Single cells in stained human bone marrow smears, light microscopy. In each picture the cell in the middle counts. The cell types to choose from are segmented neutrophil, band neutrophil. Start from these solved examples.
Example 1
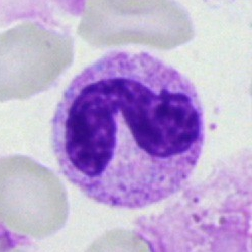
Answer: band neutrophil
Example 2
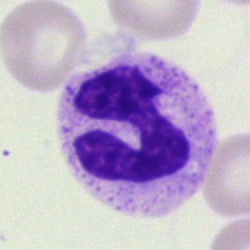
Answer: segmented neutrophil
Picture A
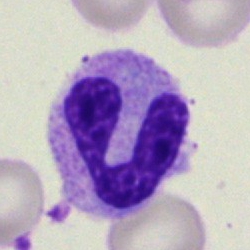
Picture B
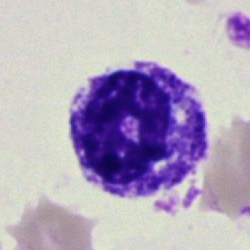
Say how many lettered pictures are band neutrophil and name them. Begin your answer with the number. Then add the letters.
0, none of them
